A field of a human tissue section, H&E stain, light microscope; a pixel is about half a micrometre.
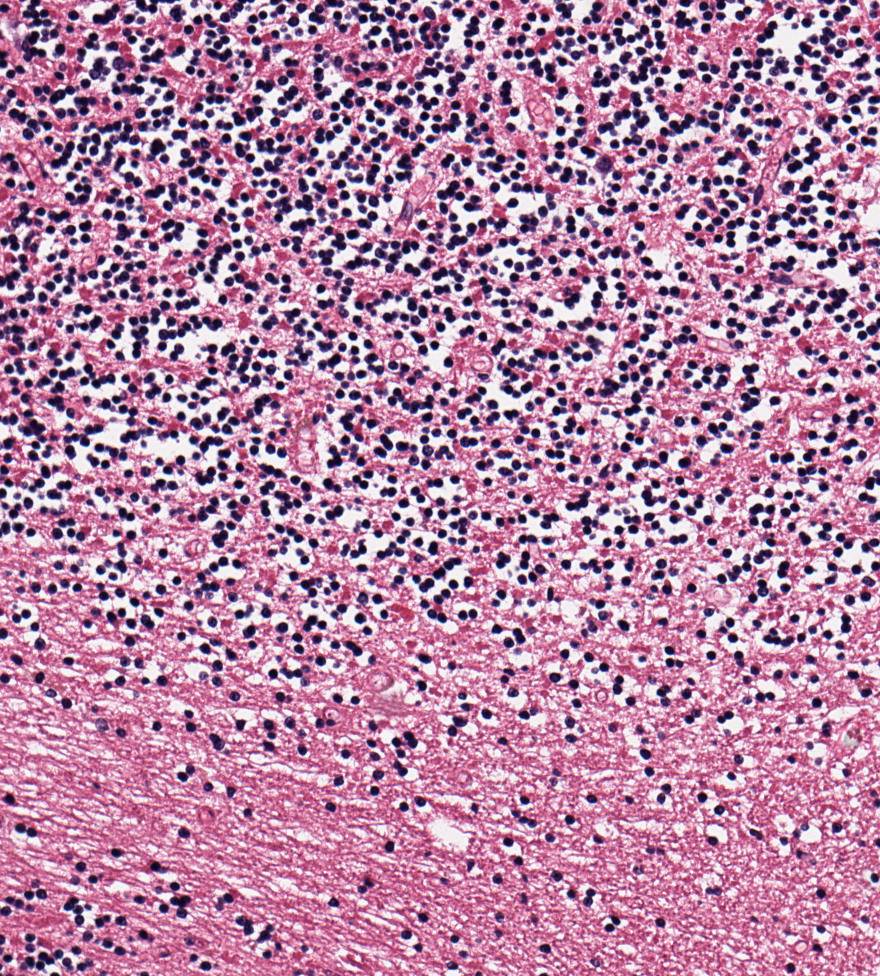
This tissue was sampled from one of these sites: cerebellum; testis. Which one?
cerebellum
